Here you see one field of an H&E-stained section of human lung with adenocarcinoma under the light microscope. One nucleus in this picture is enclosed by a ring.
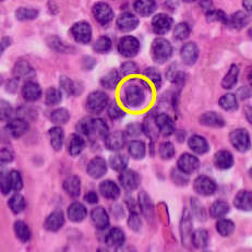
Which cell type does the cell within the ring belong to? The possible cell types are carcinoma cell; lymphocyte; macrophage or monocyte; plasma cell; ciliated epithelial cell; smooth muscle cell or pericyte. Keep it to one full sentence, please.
Considered by cell type, the cell within the ring is a lymphocyte.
